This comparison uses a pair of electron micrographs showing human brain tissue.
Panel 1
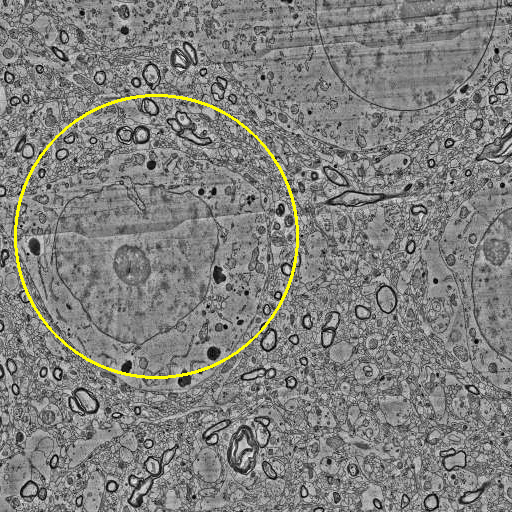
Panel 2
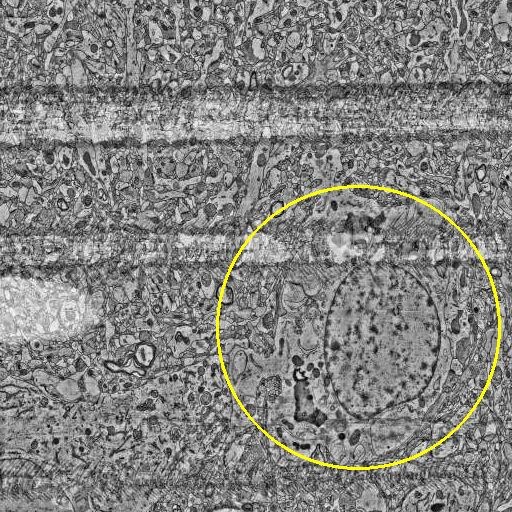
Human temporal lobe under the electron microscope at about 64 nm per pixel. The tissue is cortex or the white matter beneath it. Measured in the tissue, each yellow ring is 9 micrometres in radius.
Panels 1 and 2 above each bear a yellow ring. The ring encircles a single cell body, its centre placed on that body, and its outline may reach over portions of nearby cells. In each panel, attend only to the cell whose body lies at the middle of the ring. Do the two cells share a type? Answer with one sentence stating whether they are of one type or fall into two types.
In Panel 1 and Panel 2, the cells at the centres of the rings fall into two types.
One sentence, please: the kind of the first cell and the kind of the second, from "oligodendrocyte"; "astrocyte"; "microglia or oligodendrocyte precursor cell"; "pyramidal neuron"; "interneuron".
The ring in the first picture surrounds a pyramidal neuron, and the ring in the second surrounds an astrocyte.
